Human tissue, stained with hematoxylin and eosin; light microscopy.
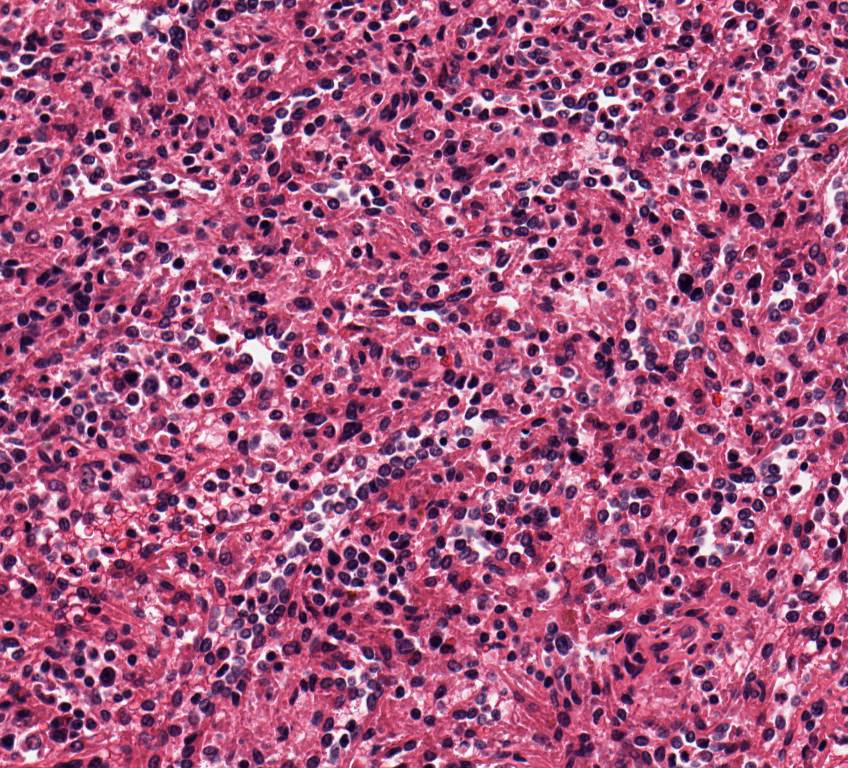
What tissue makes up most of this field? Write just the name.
red pulp of the spleen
